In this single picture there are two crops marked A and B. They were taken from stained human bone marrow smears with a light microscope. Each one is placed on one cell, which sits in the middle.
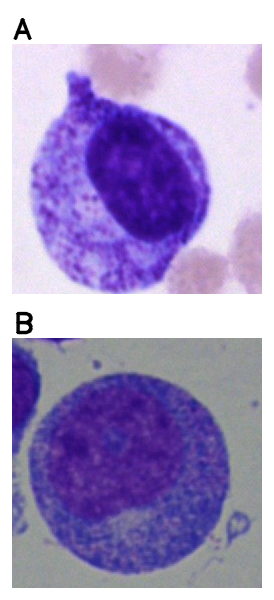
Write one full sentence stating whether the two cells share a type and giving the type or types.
Yes, the cells centred in the two crops are both promyelocytes.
